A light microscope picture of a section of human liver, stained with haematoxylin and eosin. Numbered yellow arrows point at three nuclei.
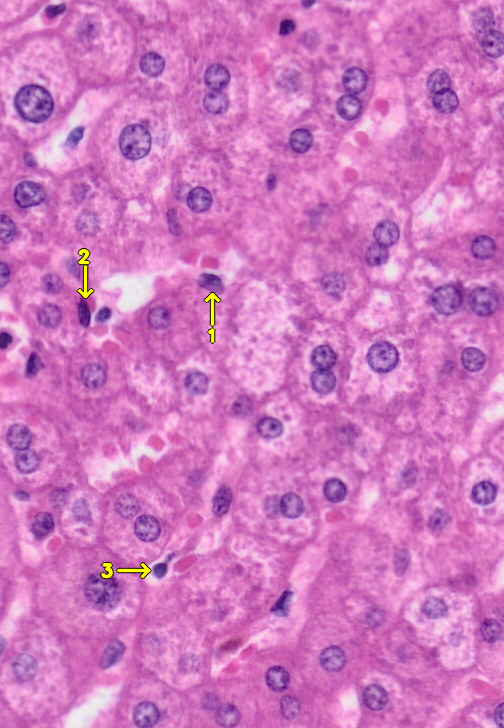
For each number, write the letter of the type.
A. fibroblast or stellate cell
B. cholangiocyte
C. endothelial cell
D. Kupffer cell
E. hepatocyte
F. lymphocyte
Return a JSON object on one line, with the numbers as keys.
{"1": "C", "2": "A", "3": "F"}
